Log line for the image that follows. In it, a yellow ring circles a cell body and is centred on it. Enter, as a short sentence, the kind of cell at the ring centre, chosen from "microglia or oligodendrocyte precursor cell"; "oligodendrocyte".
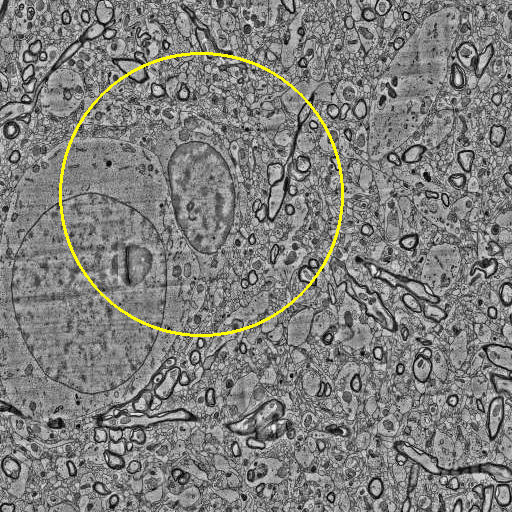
The ring centre is occupied by an oligodendrocyte.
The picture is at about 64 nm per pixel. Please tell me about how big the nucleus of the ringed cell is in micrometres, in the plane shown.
The nucleus of the ringed cell is clearly longer than it is wide in this plane, about 7 by 4 micrometres.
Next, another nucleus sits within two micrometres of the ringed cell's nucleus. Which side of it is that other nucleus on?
The other nucleus can be seen to the lower left of it.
